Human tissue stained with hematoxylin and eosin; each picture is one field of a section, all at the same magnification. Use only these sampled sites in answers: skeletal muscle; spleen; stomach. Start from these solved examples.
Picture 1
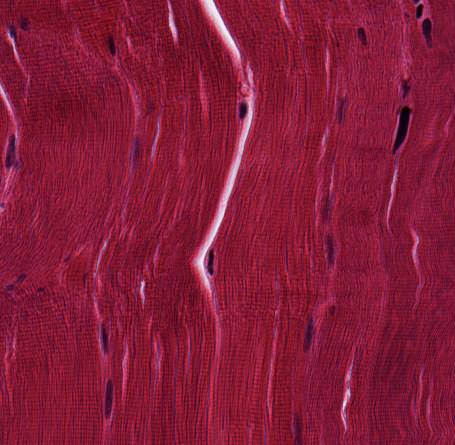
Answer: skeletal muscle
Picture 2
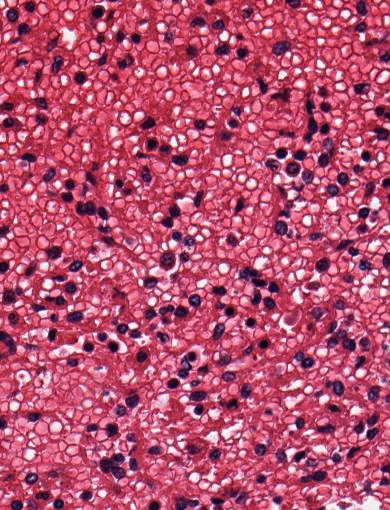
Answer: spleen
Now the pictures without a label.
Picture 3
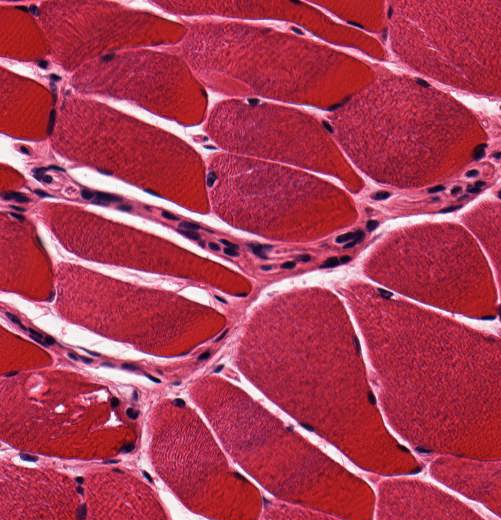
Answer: skeletal muscle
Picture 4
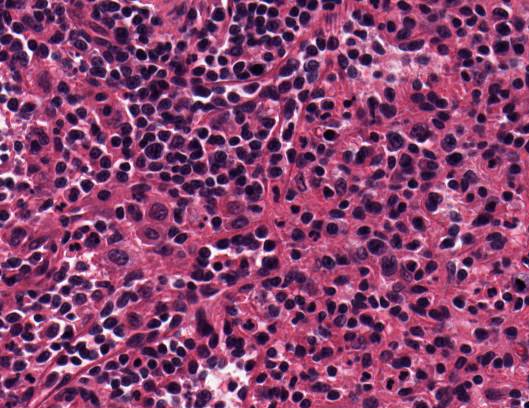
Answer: spleen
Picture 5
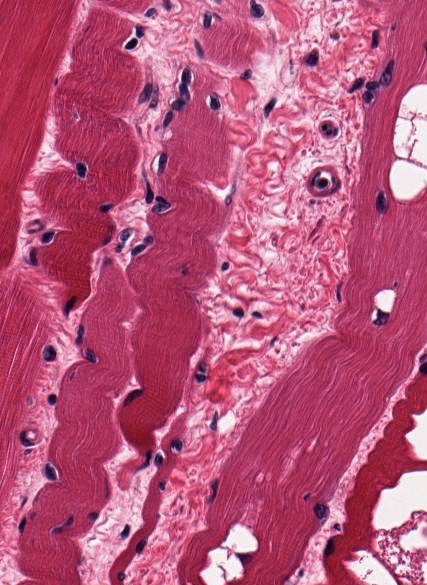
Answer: skeletal muscle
